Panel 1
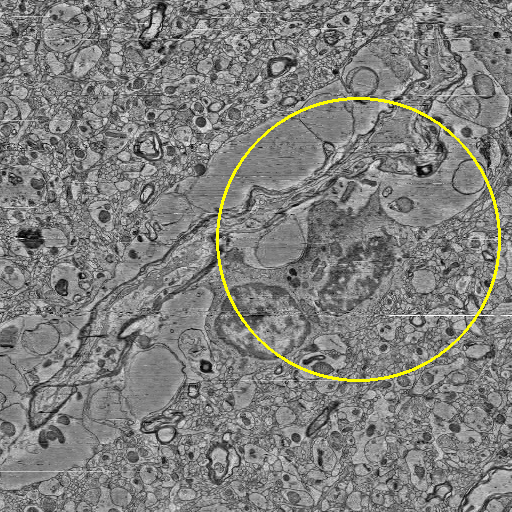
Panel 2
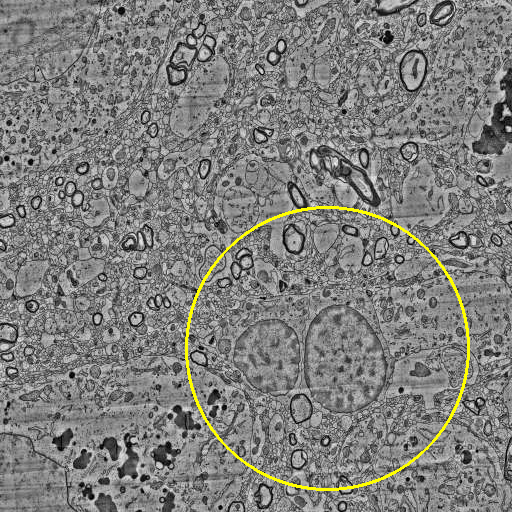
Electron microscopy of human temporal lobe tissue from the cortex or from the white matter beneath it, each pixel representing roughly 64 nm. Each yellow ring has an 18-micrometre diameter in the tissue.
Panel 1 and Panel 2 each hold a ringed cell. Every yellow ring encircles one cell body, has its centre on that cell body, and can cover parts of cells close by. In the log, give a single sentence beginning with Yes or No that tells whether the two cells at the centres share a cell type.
Yes, in Panel 1 and Panel 2 the centred cells share a cell type.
